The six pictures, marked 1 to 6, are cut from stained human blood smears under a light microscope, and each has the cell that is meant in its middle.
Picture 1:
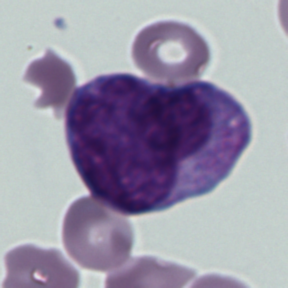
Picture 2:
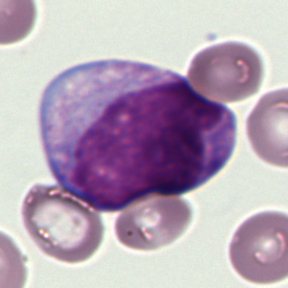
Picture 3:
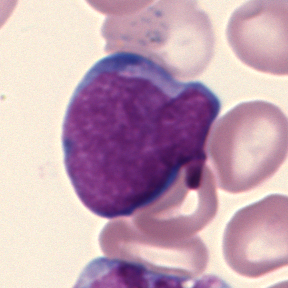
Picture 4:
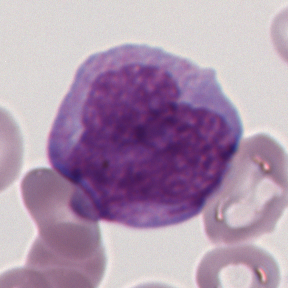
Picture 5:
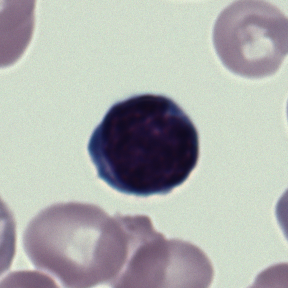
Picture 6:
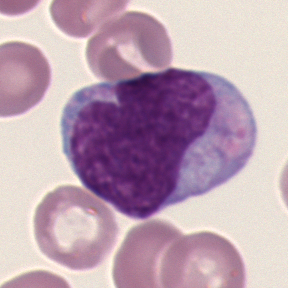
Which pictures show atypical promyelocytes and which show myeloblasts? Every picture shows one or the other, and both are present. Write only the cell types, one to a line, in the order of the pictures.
atypical promyelocyte
atypical promyelocyte
myeloblast
atypical promyelocyte
myeloblast
atypical promyelocyte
